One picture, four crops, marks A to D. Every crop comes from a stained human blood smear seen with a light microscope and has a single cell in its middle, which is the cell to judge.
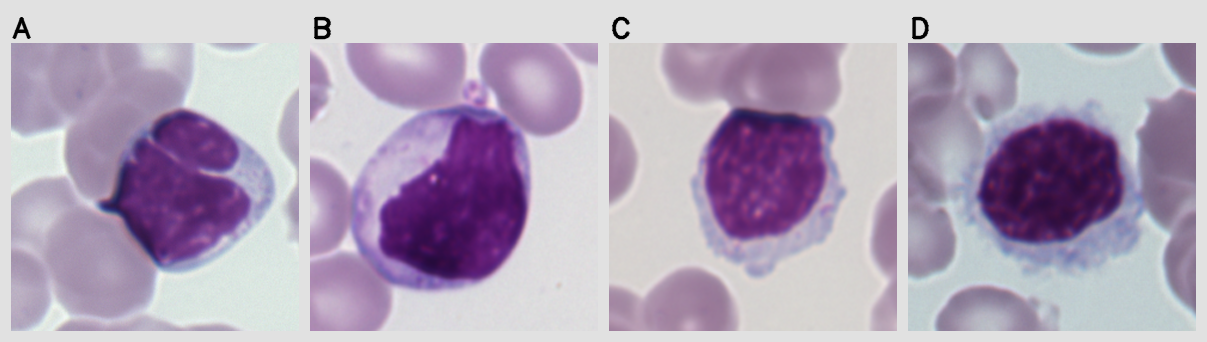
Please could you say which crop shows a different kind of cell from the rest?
D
